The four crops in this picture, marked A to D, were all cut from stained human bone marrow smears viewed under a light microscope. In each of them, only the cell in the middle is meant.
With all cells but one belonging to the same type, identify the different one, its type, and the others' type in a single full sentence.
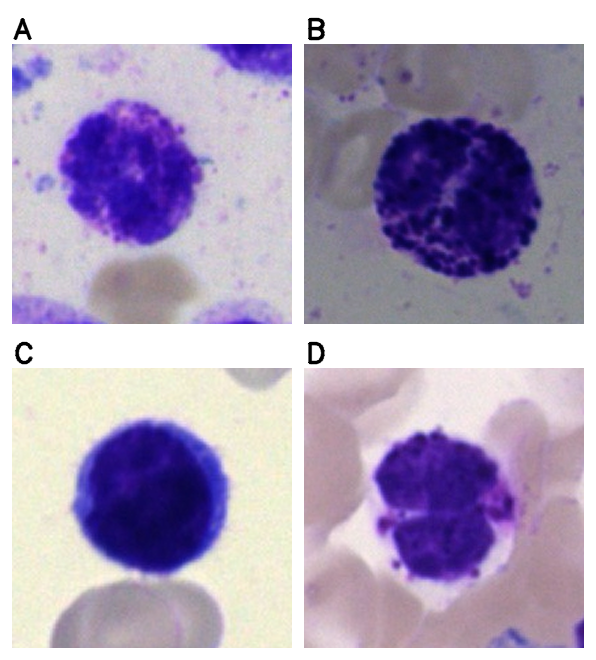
Among these crops, basophils occur in all but crop C, which contains a lymphocyte.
